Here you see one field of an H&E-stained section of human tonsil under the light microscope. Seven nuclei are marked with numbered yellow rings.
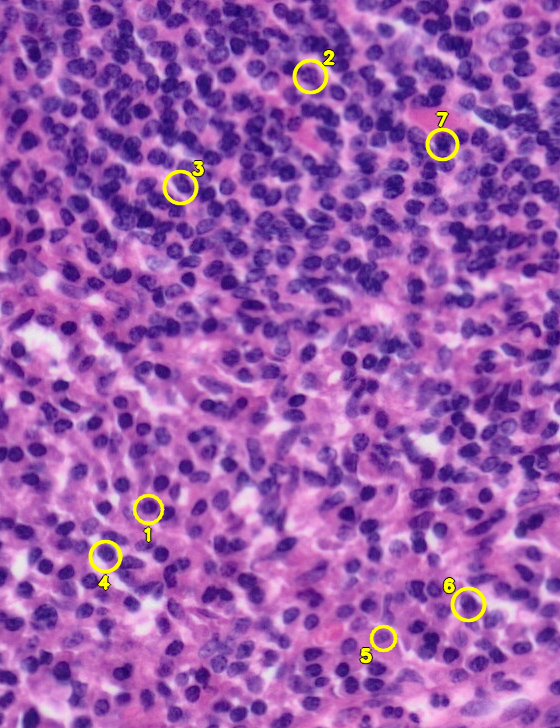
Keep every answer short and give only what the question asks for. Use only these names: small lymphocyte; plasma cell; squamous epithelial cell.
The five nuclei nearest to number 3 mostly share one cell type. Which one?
small lymphocyte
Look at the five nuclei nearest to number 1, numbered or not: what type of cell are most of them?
plasma cell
